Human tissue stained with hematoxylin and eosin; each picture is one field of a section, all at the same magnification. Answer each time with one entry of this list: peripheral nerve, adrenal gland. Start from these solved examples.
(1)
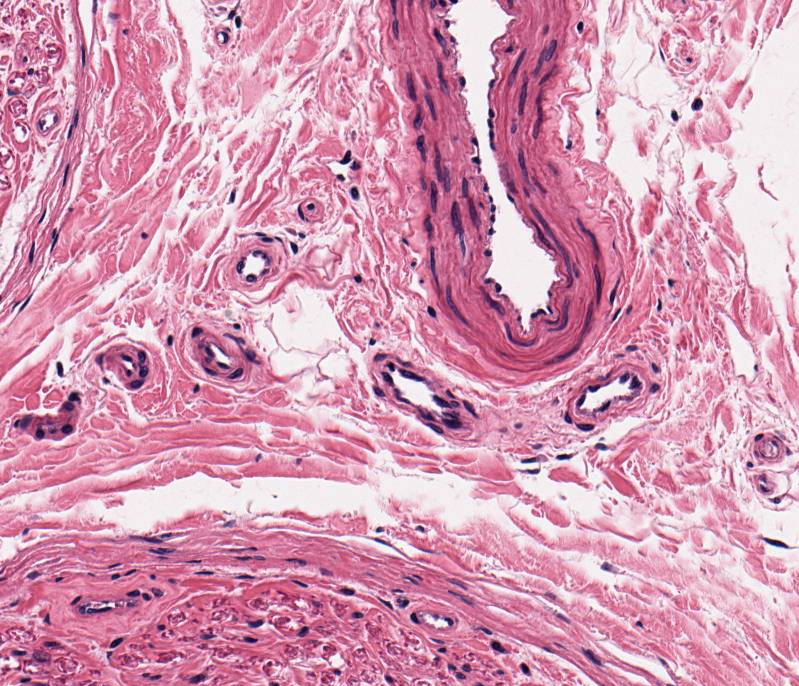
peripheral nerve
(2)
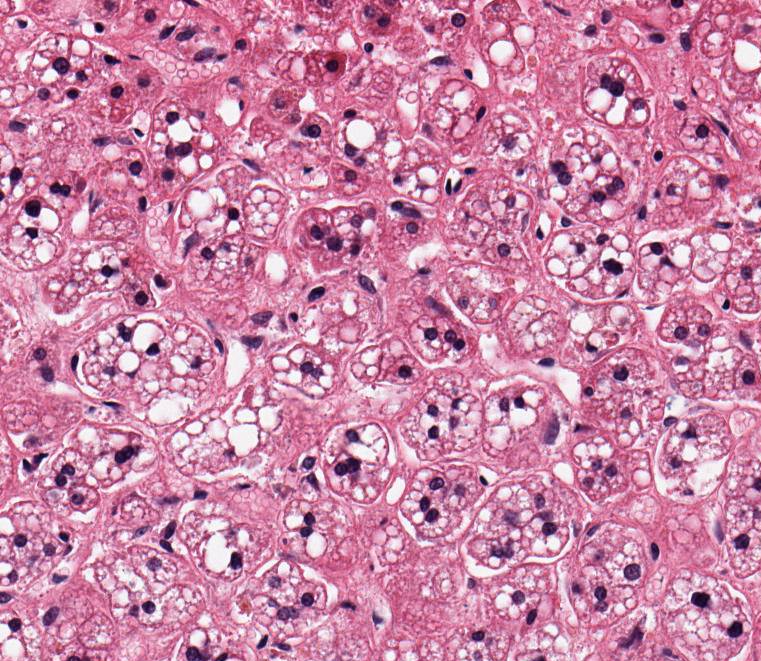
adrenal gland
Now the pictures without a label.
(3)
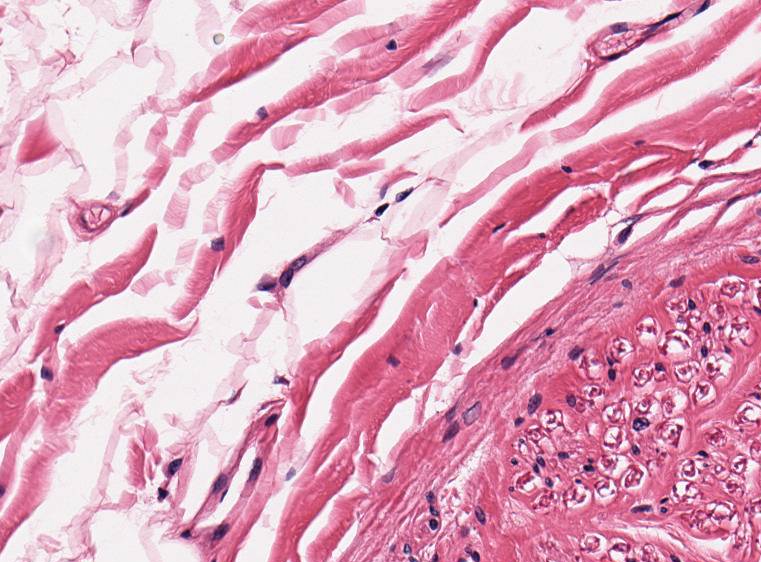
peripheral nerve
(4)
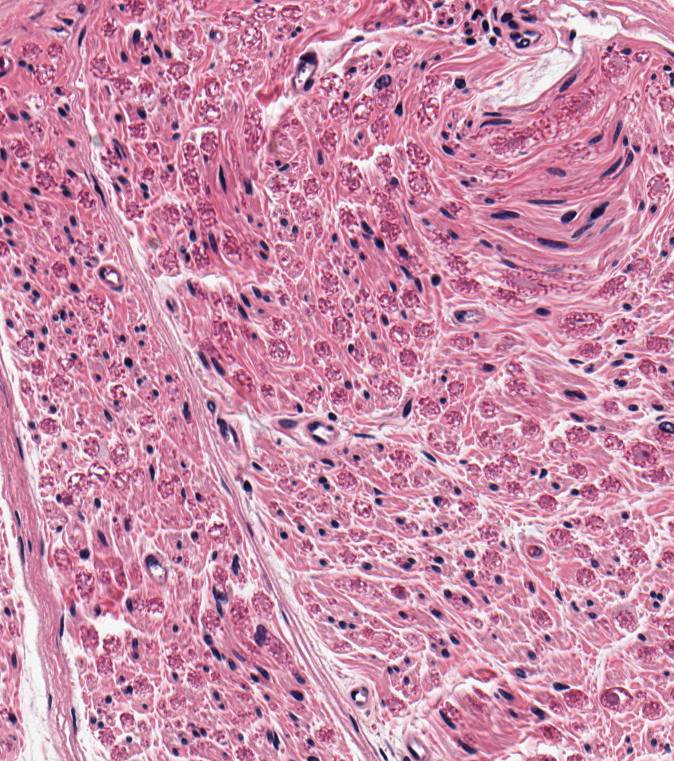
peripheral nerve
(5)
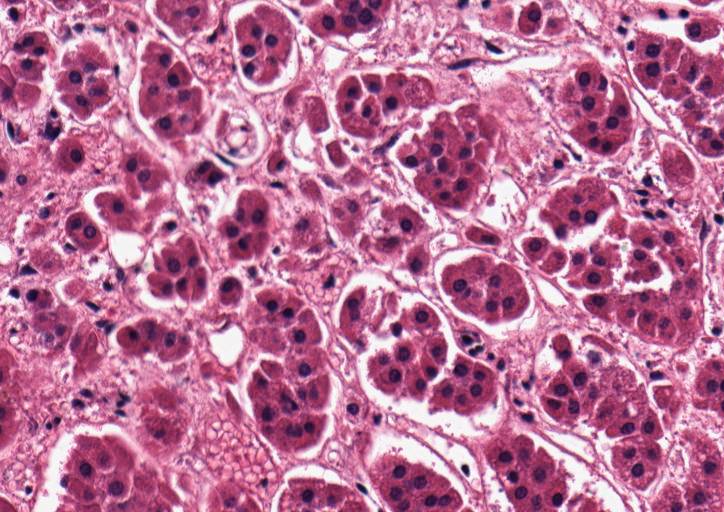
adrenal gland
